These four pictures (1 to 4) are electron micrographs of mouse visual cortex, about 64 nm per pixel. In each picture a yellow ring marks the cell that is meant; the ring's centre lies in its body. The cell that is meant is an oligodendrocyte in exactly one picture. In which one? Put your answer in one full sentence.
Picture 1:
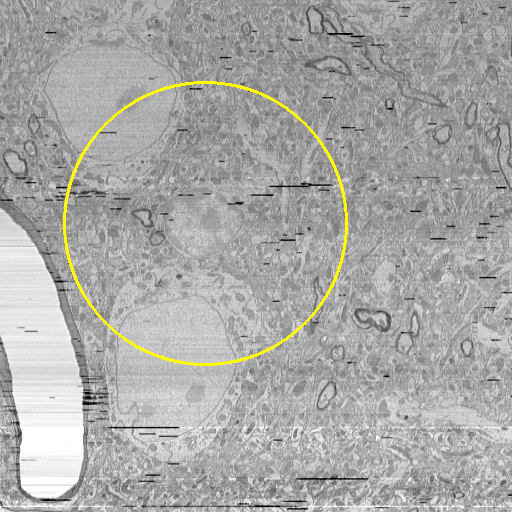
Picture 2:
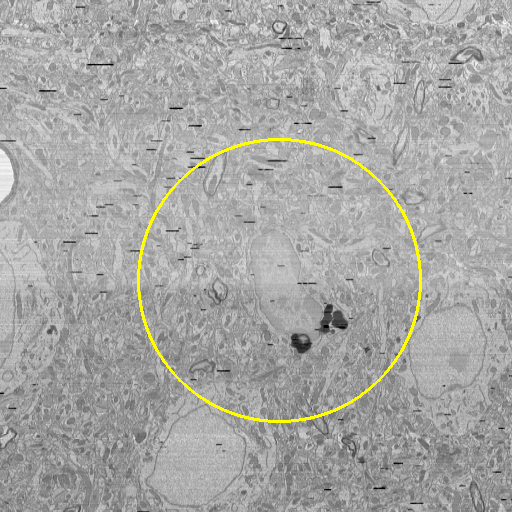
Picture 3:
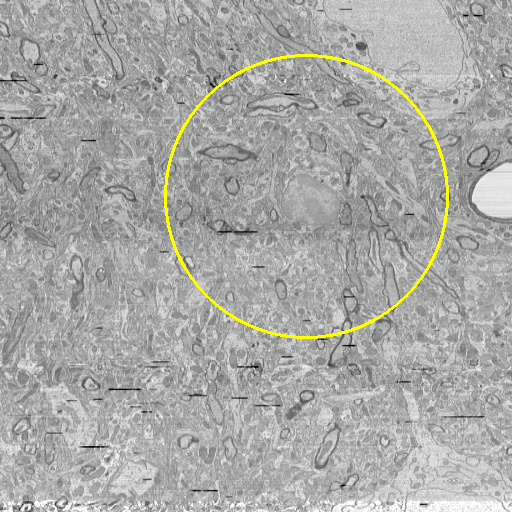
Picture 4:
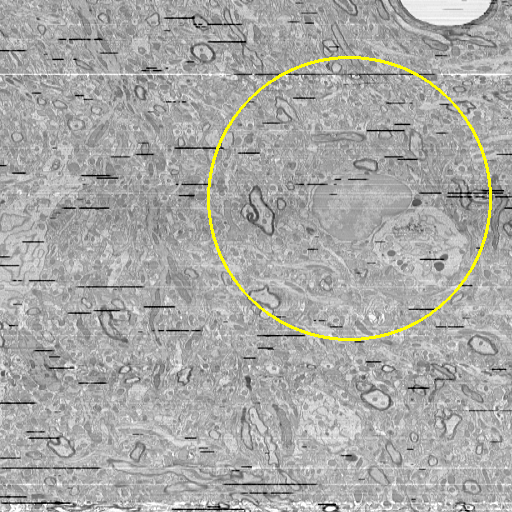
Picture 1 shows the oligodendrocyte.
